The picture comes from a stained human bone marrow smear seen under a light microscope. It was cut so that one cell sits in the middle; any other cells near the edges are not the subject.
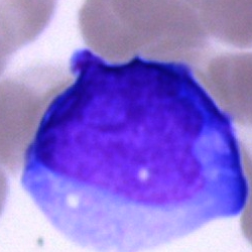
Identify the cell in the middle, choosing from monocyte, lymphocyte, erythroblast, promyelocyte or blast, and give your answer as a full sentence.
Positioned in the middle of the crop is a blast.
